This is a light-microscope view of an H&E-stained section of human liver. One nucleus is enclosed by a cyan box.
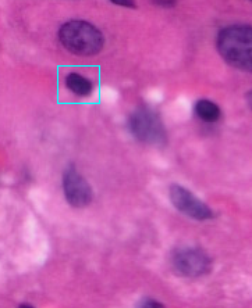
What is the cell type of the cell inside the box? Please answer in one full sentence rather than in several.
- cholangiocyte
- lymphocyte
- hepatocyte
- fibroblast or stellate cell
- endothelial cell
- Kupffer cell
In this section, the cell inside the box is a lymphocyte.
